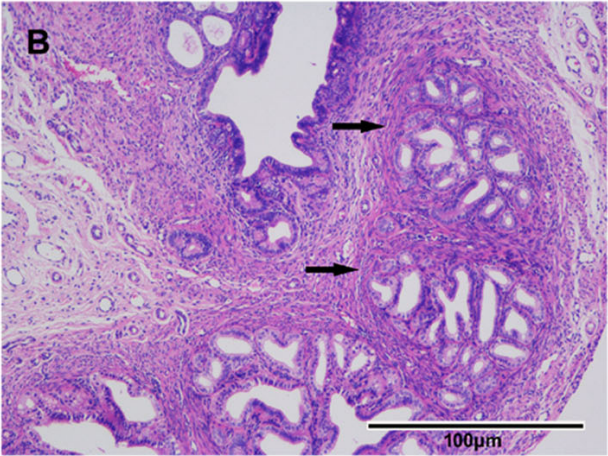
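Uterine wall with a central lumen lined by columnar epithelium and surrounding endometrial stroma. To the right, clusters of glands with wide, irregular lumens lie within rounded whorls of pink spindle-shaped muscle cells. These glands are lined by columnar epithelium with basal purple nuclei. The muscle bundles encircle the gland clusters rather than forming a continuous layer outside them. Looser pale connective tissue with small vessels lies at the left.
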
